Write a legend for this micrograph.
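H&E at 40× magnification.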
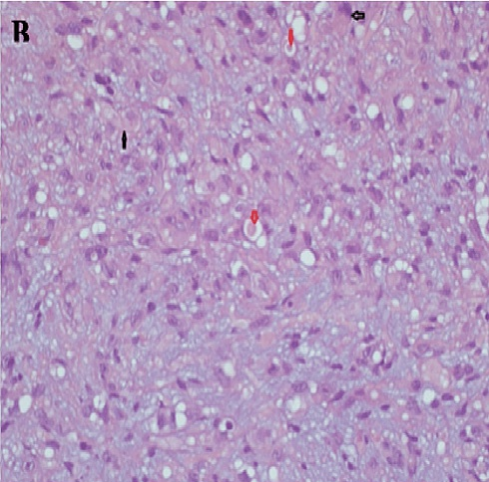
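This is a tumour seen at high power, made of atypical, epithelioid-looking cells set in a pale bluish, loose stroma. The cells are plump rather than slender, with irregular, darkly stained nuclei of varying size and a fair amount of pink cytoplasm. Scattered through the field are many small, round, sharply punched-out clear spaces lying inside the cells; these are cytoplasmic vacuoles, and here and there one holds a small pink body that looks like a red blood cell. The cells lie loosely, without forming glands or clear vessels, and the background has a faintly myxoid, wispy look.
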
